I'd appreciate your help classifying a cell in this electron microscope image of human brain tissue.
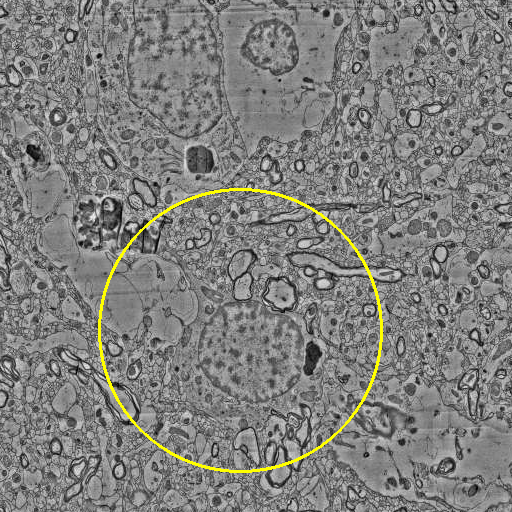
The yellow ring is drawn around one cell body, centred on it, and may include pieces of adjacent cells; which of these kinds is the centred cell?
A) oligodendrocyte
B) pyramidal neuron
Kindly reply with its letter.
A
